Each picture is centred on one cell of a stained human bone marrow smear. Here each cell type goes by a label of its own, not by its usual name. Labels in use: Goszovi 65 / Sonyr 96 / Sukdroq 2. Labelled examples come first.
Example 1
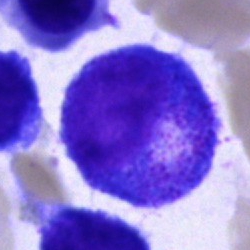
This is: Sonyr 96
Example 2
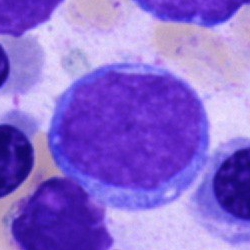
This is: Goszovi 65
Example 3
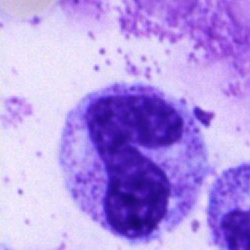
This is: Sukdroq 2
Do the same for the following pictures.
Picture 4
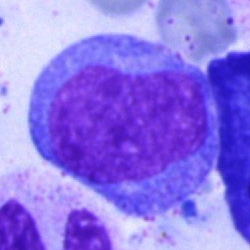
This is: Goszovi 65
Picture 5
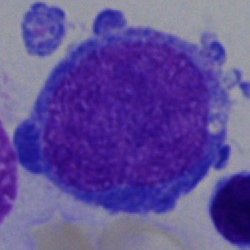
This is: Goszovi 65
